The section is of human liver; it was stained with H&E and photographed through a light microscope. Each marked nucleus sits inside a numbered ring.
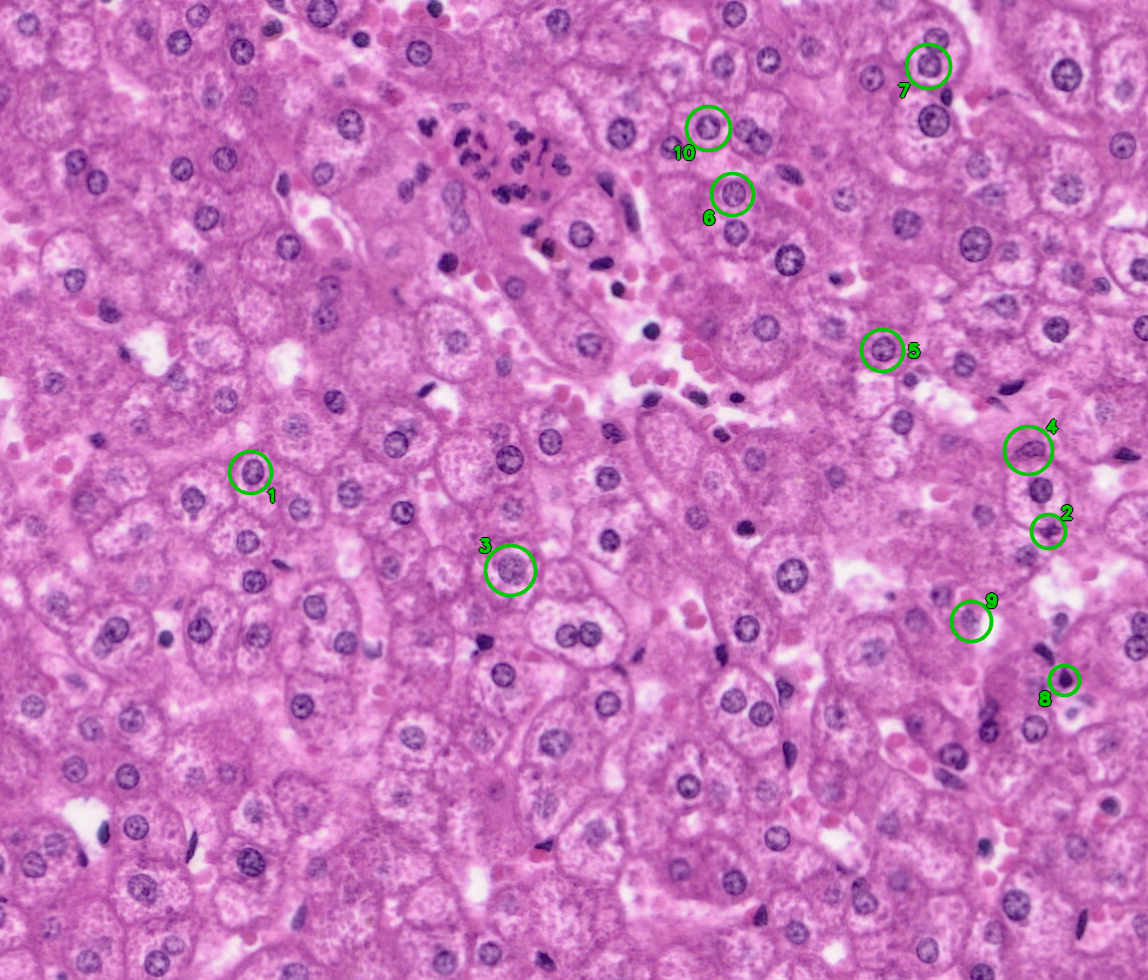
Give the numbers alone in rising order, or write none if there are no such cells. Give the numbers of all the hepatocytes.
1, 3, 5, 6, 7, 10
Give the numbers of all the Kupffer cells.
4, 9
